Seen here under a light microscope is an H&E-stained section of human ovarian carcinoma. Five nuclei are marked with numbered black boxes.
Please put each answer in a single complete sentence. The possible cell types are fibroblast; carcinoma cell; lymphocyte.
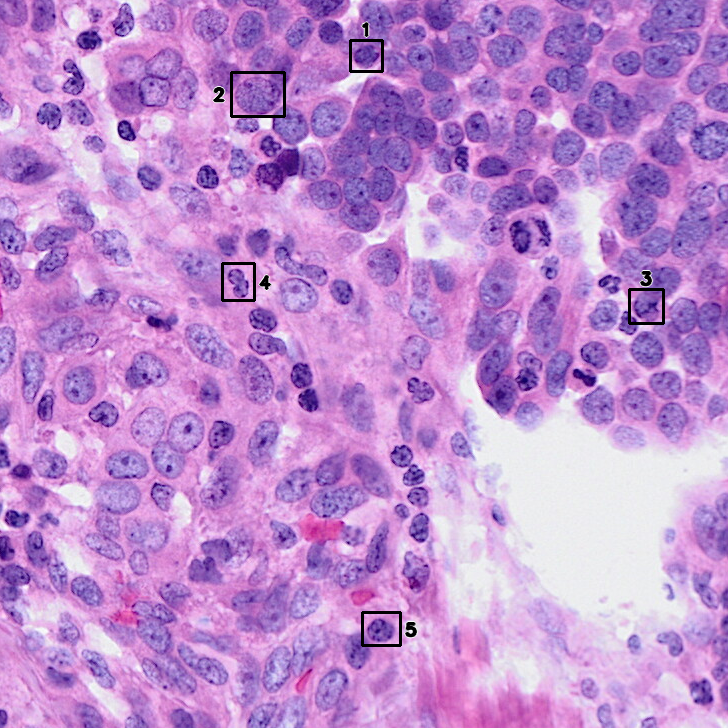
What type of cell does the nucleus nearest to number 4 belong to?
The nucleus nearest to number 4 is that of a fibroblast.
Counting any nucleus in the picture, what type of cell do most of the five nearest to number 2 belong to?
Around number 2, most of the five nearest nuclei are those of carcinoma cells.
